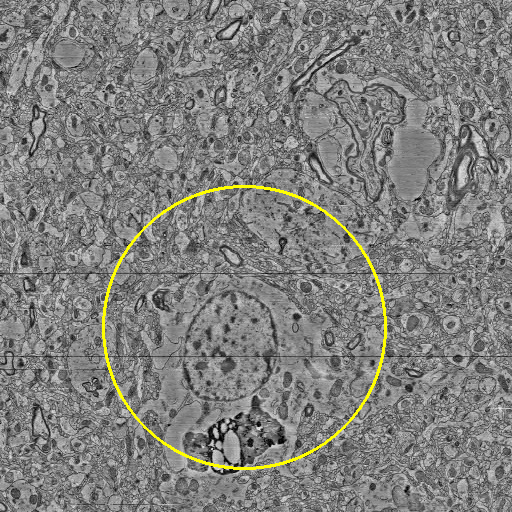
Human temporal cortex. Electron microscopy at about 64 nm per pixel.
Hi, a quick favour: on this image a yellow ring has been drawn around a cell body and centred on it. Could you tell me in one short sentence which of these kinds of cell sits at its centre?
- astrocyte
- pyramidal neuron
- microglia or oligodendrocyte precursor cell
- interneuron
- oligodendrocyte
The ring is centred on an astrocyte.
